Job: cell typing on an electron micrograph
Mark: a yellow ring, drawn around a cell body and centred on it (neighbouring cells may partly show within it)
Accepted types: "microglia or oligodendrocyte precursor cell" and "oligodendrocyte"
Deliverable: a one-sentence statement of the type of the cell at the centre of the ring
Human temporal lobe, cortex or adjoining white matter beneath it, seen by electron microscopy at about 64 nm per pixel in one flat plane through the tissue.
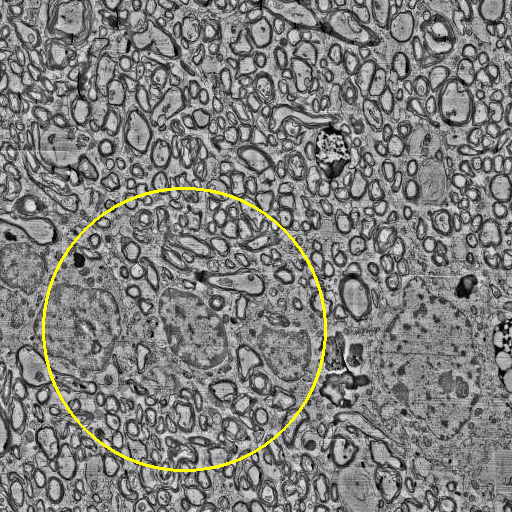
The centred cell body is that of a microglial cell or oligodendrocyte precursor cell.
